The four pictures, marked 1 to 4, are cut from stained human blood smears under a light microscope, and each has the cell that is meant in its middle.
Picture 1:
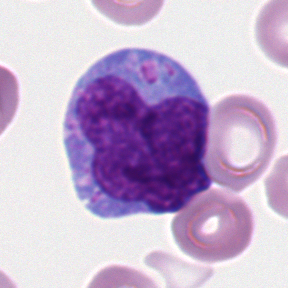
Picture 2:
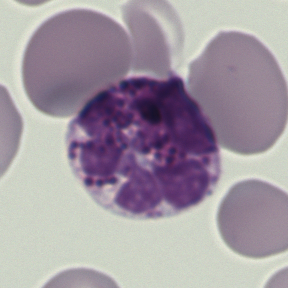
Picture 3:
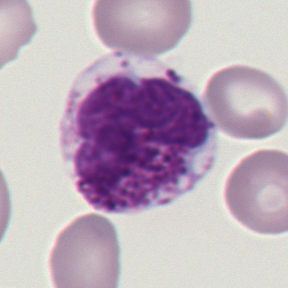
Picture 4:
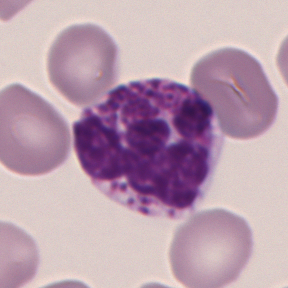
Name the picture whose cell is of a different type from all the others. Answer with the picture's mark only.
1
